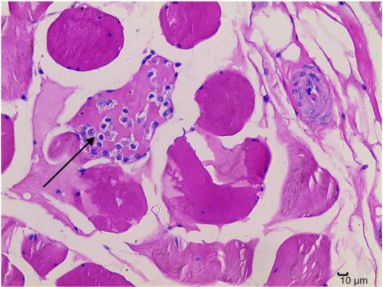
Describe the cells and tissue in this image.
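Skeletal muscle fibers are cut in cross section as rounded, deep pink, fairly homogeneous profiles separated by wide pale spaces. A few further nuclei sit at the edges of fibers and in the loose tissue between them.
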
